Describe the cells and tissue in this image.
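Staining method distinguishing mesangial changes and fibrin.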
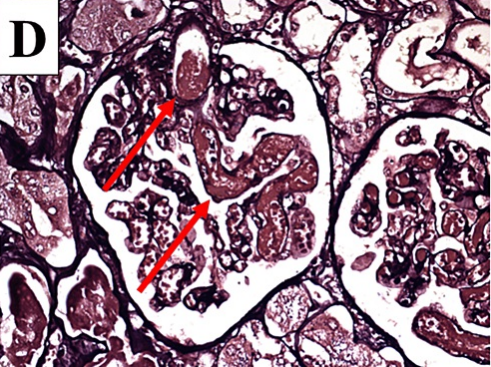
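A glomerulus sits within Bowman's space at high magnification, its capillary loops outlined by thin dark grey to black walls. Around the glomerulus lie tubules with cuboidal epithelium and dark-outlined basement membranes, some lumens containing brownish material. A second glomerulus at the right edge shows similar dark capillary walls with some brown-filled loops.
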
